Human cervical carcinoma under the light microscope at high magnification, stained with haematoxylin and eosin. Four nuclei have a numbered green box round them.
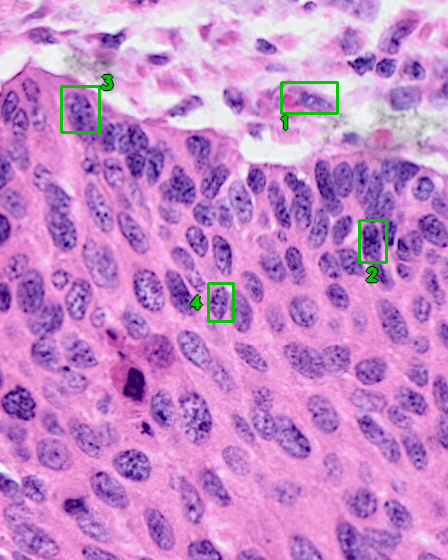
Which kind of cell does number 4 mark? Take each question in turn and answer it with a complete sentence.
The cell that carries the label 4 is a squamous carcinoma cell.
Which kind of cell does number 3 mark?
Belonging to a squamous carcinoma cell is the nucleus that carries the number 3.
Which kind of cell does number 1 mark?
The cell numbered 1 has been identified as an endothelial cell.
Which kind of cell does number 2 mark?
The cell referenced by the number 2 is a squamous carcinoma cell in this field.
